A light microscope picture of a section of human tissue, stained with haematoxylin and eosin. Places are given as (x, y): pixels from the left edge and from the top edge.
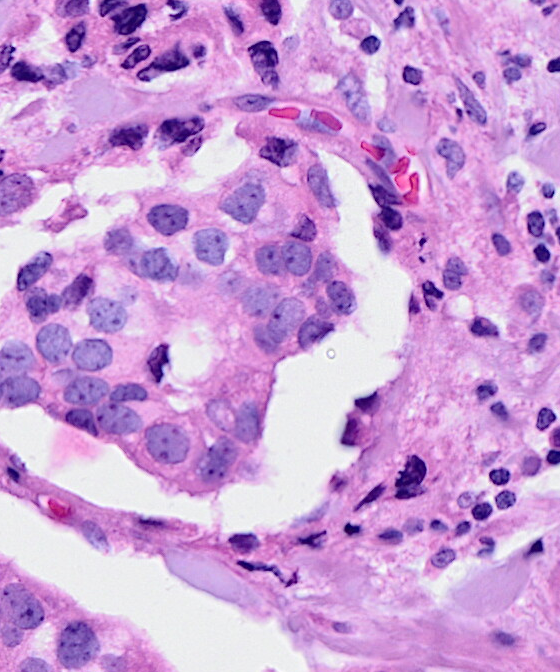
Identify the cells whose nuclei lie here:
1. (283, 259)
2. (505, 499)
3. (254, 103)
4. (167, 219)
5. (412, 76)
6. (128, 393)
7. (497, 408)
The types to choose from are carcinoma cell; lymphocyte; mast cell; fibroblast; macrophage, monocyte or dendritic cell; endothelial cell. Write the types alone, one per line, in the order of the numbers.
carcinoma cell
lymphocyte
endothelial cell
carcinoma cell
lymphocyte
carcinoma cell
lymphocyte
